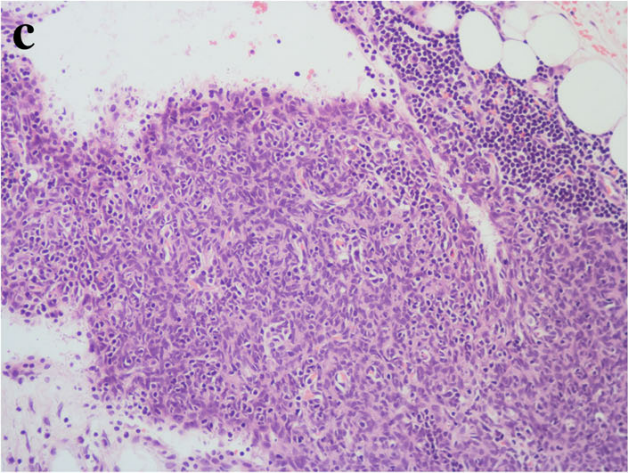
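This tissue shows a small nodule of tumour cells beside a band of lymphocytes and fat. The nodule is made of oval to spindle cells with elongated, pale-staining nuclei and moderate pink cytoplasm, arranged in short sweeping fascicles and loose whorls with a few thin vessels between them. At its upper right edge lies a dense cluster of small round cells with dark, round nuclei and scant cytoplasm, resembling lymphocytes, and beyond them large empty round fat cells. The nodule's edges border pale, loose, almost empty space.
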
